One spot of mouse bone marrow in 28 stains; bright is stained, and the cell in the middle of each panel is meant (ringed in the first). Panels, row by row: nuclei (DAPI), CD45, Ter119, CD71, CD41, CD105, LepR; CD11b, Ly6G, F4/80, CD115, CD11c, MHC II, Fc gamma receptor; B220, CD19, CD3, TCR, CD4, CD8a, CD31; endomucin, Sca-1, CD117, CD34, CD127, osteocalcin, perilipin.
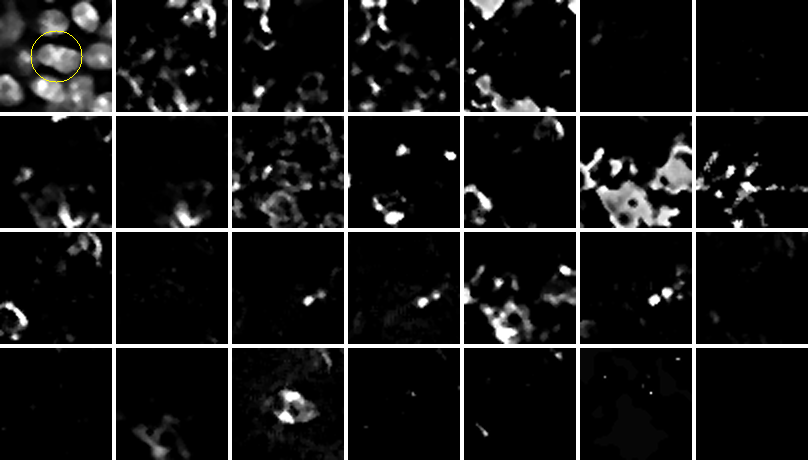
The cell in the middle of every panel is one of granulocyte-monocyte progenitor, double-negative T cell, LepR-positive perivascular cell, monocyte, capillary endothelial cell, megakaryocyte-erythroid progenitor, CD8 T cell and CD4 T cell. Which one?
granulocyte-monocyte progenitor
